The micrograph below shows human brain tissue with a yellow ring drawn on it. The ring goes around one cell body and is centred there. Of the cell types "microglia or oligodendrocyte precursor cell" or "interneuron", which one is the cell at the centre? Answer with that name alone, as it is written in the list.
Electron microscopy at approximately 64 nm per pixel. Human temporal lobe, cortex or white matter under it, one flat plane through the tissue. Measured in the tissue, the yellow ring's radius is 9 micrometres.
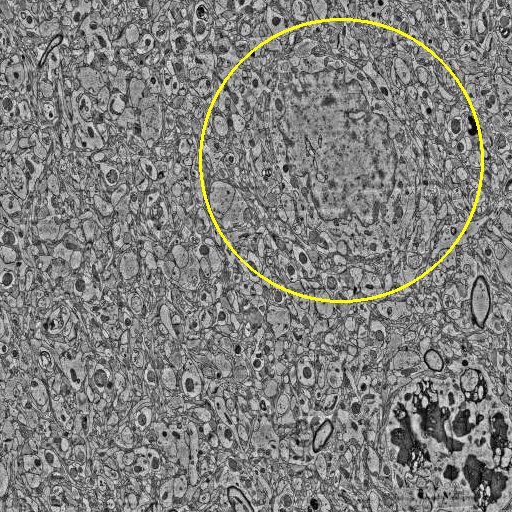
interneuron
